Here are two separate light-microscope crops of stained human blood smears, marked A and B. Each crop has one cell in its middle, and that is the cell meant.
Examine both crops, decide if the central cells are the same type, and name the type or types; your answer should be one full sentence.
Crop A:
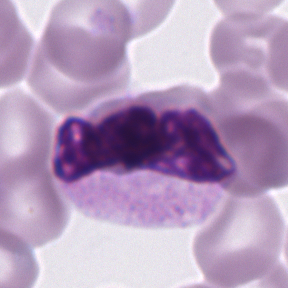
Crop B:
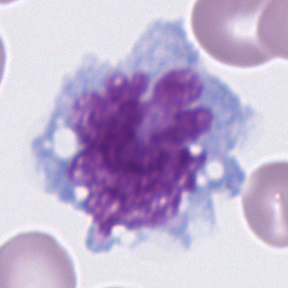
No, in crop A the cell is a segmented neutrophil, and in crop B it is a monocyte.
